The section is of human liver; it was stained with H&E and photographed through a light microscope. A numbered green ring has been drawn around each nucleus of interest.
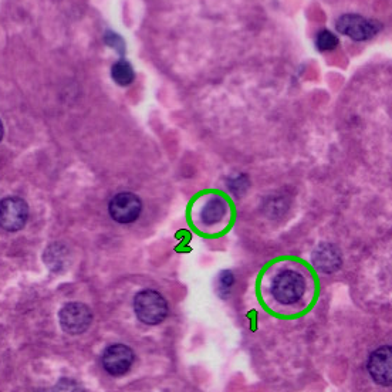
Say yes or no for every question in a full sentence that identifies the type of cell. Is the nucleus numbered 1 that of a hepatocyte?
Yes, the cell referred to as number 1 is a hepatocyte.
